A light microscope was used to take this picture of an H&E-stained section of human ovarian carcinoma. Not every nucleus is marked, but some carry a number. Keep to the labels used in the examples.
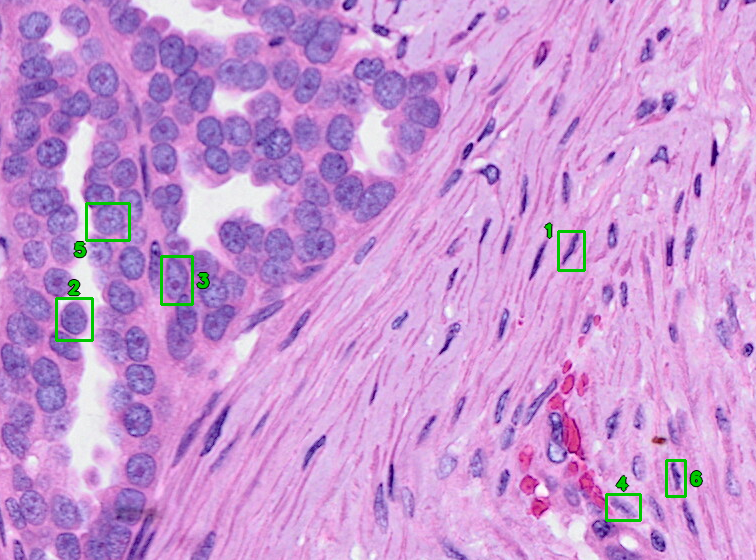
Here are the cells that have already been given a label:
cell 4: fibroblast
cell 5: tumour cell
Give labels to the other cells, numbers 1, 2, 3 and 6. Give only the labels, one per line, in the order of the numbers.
fibroblast
tumour cell
tumour cell
fibroblast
